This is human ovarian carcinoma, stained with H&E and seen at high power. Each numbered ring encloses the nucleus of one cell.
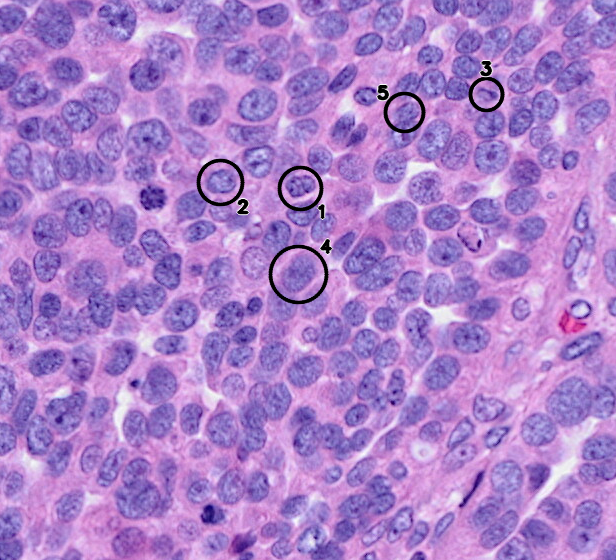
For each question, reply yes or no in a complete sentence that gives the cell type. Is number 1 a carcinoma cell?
No, number 1 is not a carcinoma cell but a macrophage or monocyte.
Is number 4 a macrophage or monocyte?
No, with respect, cell 4 is a carcinoma cell rather than a macrophage or monocyte.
